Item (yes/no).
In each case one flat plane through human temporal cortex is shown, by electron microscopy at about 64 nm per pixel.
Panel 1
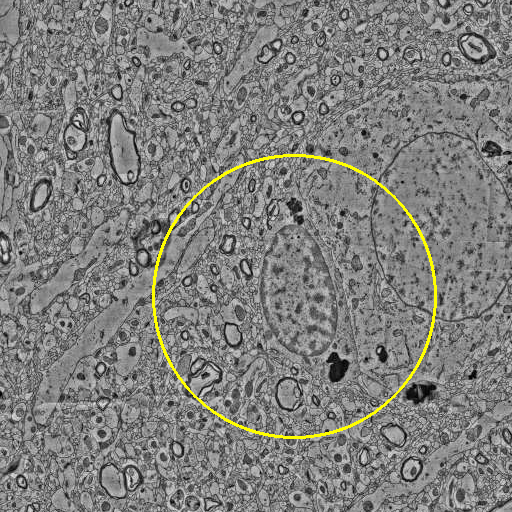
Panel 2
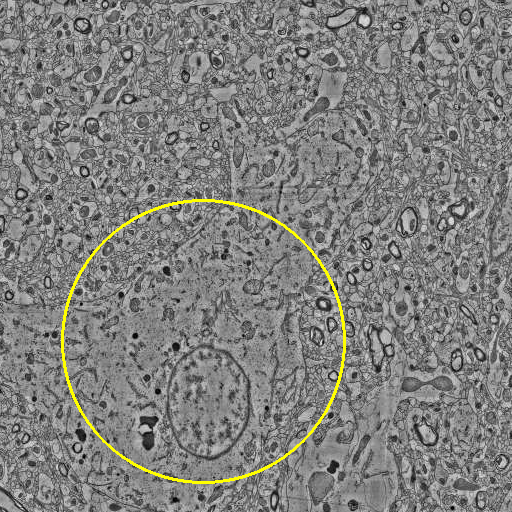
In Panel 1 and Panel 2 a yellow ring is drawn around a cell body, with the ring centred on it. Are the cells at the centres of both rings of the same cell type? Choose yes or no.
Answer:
no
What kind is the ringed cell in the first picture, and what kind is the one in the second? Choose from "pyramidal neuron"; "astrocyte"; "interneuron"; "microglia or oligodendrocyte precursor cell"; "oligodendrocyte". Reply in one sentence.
The first cell is an oligodendrocyte; the second is a pyramidal neuron.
